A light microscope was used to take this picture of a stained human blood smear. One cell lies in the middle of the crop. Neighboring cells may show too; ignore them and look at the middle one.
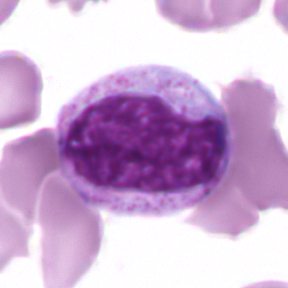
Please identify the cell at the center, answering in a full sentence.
As for the cell in the middle, it is a metamyelocyte.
